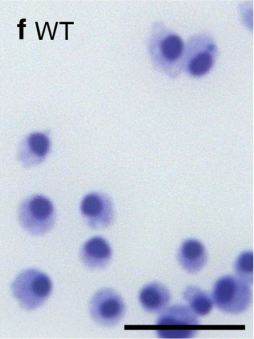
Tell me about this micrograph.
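A few larger cells have more abundant pale cytoplasm around an eccentric nucleus. No cells with lobed or segmented nuclei are seen.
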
